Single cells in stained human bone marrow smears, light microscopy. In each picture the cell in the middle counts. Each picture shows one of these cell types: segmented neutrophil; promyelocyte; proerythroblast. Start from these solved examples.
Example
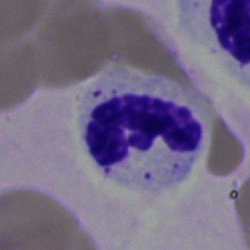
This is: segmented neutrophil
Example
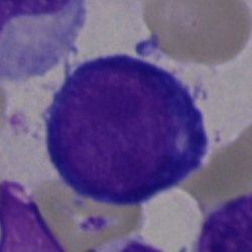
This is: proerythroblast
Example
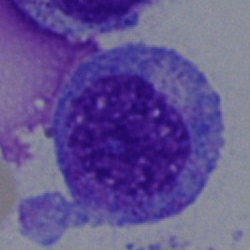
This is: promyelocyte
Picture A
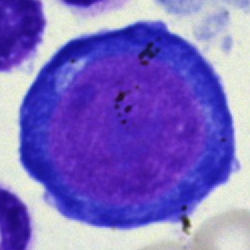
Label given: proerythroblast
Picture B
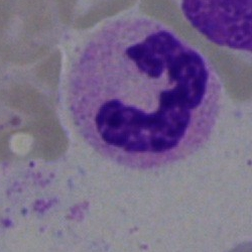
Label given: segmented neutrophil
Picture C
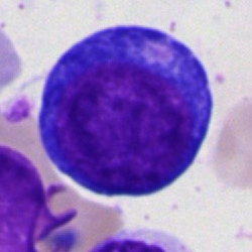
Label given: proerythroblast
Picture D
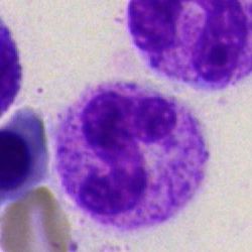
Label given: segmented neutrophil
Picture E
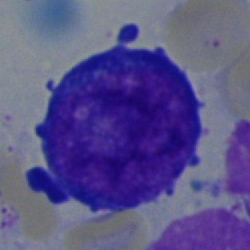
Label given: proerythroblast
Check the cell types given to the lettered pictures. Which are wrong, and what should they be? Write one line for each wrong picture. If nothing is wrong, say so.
All correct.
